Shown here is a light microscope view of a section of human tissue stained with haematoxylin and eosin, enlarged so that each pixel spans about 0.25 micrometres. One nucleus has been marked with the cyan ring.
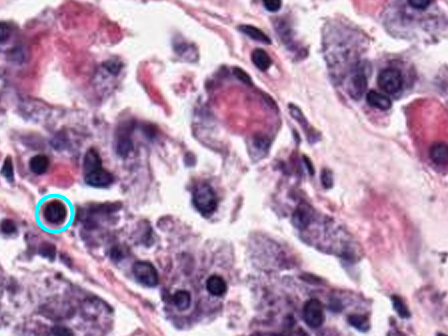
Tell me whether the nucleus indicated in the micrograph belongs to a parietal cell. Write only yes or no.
no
